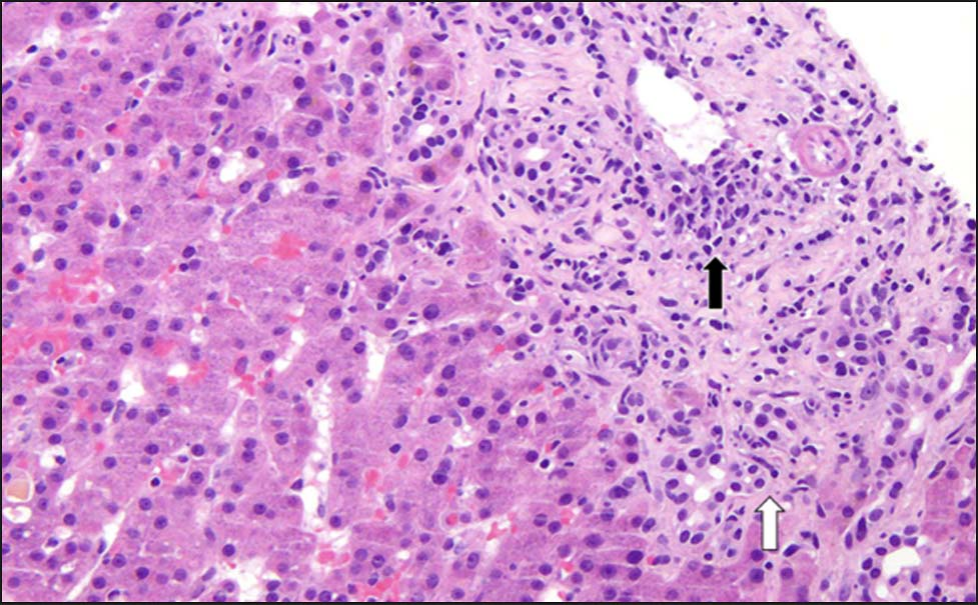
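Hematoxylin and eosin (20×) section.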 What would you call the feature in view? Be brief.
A: Portal tract.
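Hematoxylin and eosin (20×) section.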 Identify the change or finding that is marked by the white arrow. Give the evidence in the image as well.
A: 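Small irregular cords and tubules of cuboidal cells lie at the edge of the stroma next to the hepatocyte plates. That points to this answer: bile ductular reaction.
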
